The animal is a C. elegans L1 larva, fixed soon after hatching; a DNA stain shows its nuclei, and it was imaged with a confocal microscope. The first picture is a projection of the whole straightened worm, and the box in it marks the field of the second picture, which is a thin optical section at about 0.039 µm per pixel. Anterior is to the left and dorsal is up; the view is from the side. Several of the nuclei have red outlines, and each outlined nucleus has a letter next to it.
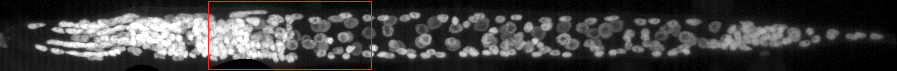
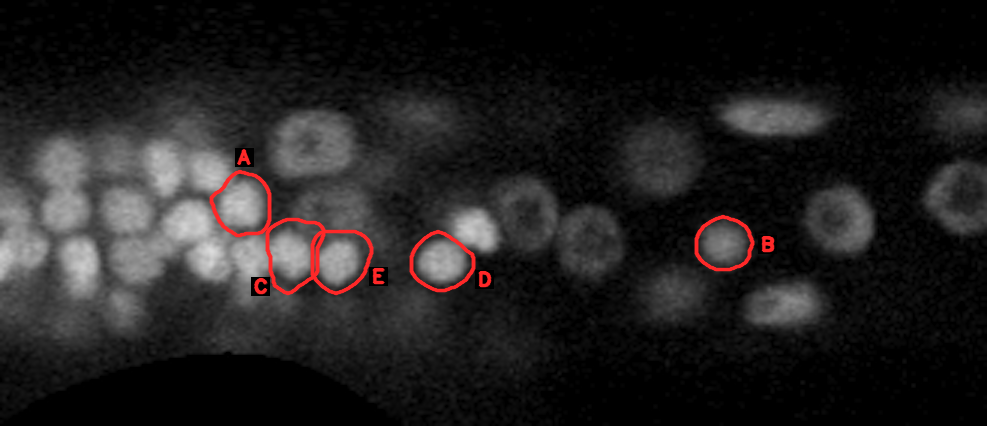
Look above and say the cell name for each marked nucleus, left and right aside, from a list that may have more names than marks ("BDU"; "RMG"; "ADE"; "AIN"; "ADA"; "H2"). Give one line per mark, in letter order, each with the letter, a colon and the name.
A: AIN
B: BDU
C: ADE
D: RMG
E: ADA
